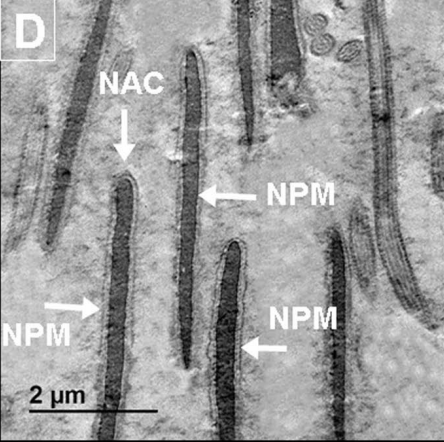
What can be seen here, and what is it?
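Transmission electron micrograph of spermatozoa cut lengthwise, showing slender, elongated, uniformly electron-dense heads lying roughly parallel. Between the heads, parts of tails with longitudinal fibrous structure run alongside, and a few small round cross sections of midpieces or tails are visible. The surrounding background is a pale, finely granular matrix.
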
